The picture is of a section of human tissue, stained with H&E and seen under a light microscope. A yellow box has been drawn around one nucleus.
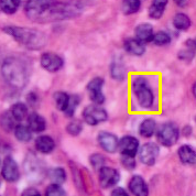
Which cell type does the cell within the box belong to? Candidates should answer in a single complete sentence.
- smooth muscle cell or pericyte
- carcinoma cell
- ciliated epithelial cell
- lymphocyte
In this field of tissue, the cell within the box is a lymphocyte.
